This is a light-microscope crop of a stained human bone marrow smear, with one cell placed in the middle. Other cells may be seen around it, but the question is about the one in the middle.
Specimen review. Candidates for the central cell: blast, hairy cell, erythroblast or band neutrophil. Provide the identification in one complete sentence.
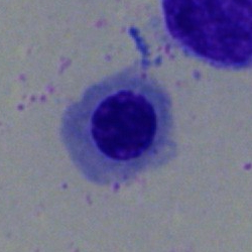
The cell at the middle of the frame should be recorded as an erythroblast.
